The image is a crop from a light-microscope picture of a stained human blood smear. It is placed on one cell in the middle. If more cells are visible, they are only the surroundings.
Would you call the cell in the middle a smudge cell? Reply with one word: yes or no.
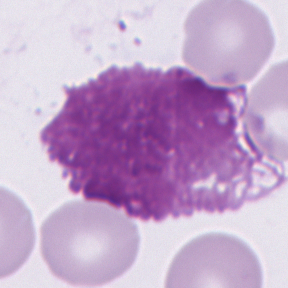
yes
